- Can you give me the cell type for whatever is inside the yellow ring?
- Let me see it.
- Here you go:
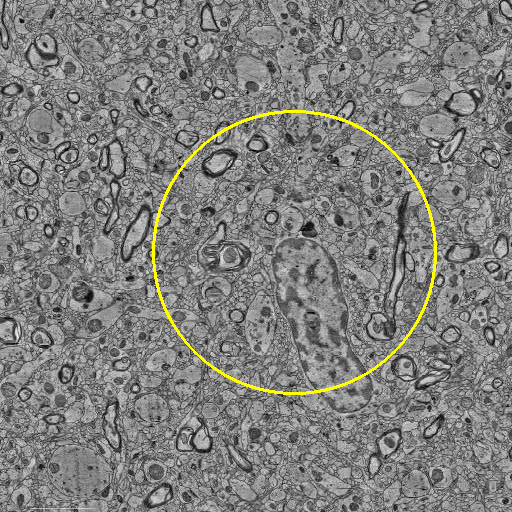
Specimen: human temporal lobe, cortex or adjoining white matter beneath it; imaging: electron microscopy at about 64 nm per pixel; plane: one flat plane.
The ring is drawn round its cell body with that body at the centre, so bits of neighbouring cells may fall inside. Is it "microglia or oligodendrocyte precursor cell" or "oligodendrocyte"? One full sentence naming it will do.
The cell body in the middle of the ring in this picture belongs to a microglial cell or oligodendrocyte precursor cell.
